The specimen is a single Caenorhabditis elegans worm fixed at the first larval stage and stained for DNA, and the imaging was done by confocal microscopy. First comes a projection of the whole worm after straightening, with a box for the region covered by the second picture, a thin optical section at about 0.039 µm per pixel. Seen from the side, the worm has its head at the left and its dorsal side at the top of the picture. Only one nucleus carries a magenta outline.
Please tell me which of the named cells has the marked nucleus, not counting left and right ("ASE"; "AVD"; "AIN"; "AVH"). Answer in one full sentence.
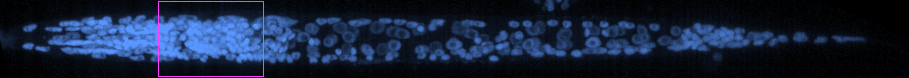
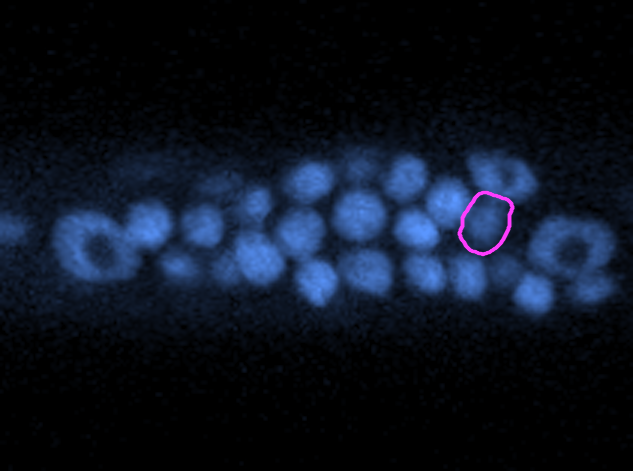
This is the nucleus of AIN, a neuron.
